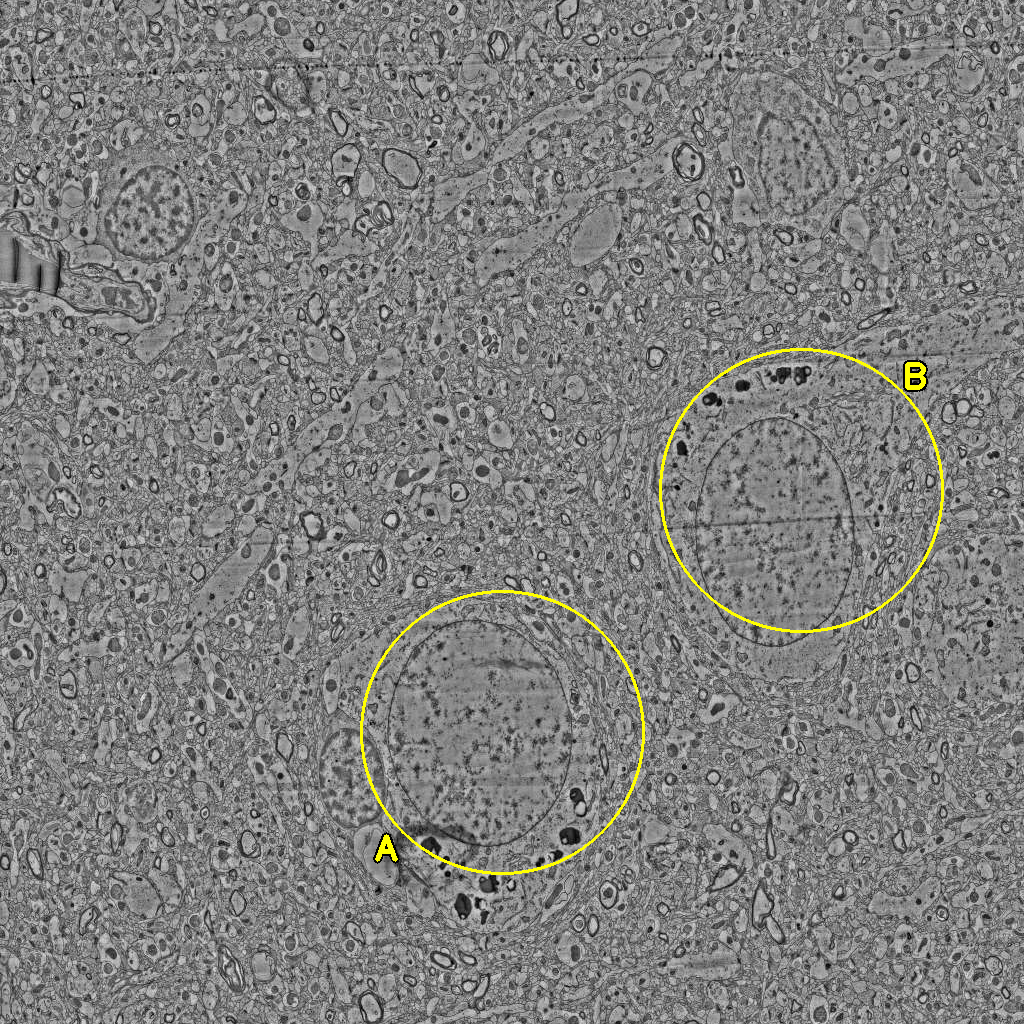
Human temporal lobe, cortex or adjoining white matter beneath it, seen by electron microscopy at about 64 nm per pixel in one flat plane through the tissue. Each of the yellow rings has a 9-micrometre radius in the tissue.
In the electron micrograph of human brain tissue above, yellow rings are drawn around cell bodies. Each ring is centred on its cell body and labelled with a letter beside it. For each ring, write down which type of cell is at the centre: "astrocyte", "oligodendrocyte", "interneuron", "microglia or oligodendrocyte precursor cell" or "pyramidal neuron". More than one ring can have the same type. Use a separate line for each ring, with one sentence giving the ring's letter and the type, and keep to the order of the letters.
At the centre of ring A there is a pyramidal neuron.
At the centre of ring B there is a pyramidal neuron.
